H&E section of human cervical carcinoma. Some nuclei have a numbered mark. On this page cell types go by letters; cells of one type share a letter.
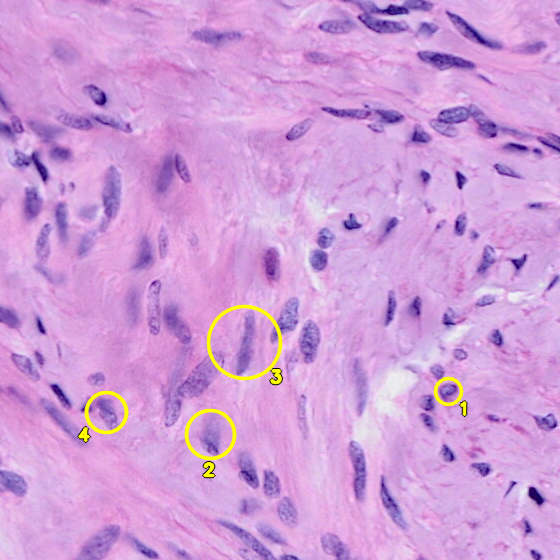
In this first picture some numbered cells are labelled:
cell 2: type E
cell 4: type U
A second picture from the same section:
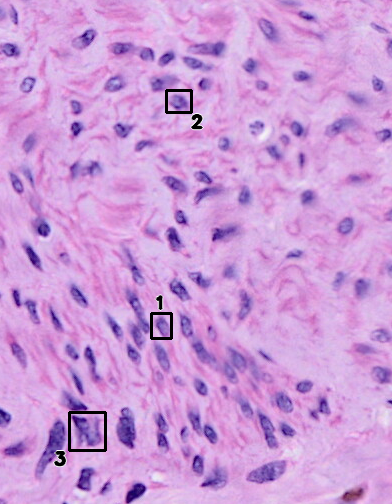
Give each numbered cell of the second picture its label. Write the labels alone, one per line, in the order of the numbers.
type U
type U
type E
